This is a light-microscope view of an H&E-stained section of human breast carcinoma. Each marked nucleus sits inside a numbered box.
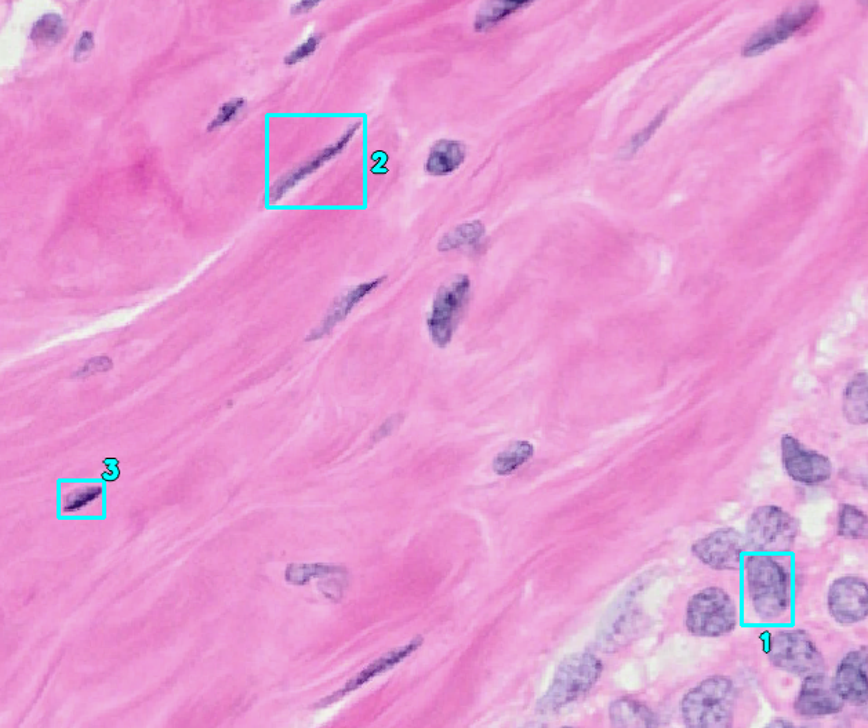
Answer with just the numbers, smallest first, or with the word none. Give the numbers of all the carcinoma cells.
1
